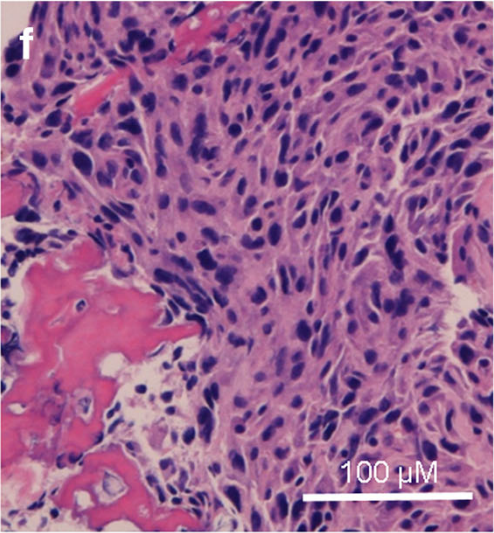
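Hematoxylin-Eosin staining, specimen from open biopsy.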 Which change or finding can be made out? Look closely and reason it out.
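Nuclei vary widely in size and shape. Many nuclei are dark and hyperchromatic, some elongated or angular. Cells are crowded with little space between them. So: strong nuclear atypia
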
